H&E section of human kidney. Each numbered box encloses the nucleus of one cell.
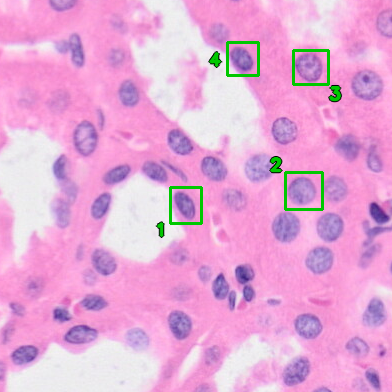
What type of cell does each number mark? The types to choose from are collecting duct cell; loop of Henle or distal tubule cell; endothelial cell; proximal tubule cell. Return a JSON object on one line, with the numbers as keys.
{"1": "loop of Henle or distal tubule cell", "2": "loop of Henle or distal tubule cell", "3": "proximal tubule cell", "4": "loop of Henle or distal tubule cell"}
